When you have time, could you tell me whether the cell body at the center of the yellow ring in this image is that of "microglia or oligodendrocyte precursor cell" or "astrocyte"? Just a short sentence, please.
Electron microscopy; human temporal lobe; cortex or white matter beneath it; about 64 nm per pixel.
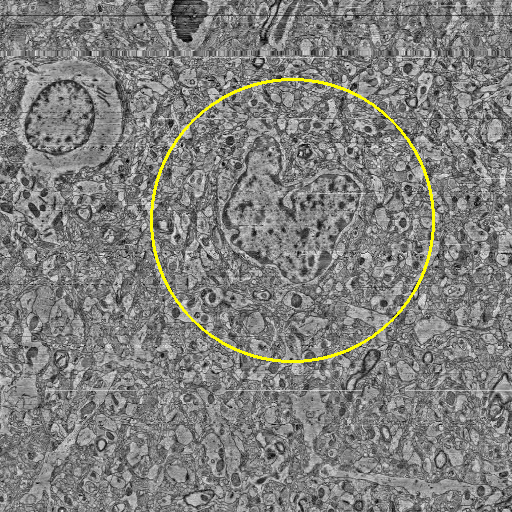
The cell body at the center of the ring is that of a microglial cell or oligodendrocyte precursor cell.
